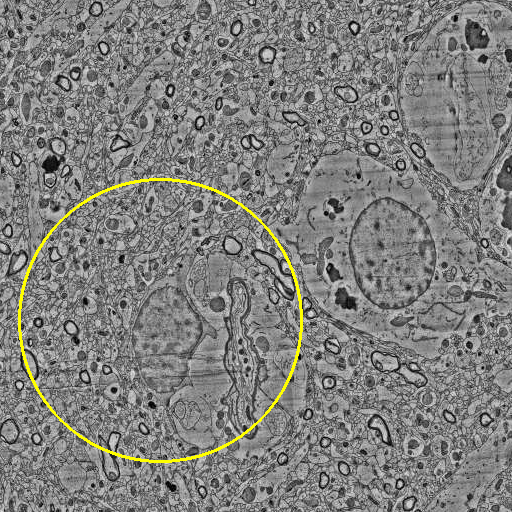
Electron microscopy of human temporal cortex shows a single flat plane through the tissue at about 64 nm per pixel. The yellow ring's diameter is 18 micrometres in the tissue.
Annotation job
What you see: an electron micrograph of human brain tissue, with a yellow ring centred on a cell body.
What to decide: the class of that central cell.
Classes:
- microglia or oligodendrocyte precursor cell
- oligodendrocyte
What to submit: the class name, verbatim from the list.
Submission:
oligodendrocyte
